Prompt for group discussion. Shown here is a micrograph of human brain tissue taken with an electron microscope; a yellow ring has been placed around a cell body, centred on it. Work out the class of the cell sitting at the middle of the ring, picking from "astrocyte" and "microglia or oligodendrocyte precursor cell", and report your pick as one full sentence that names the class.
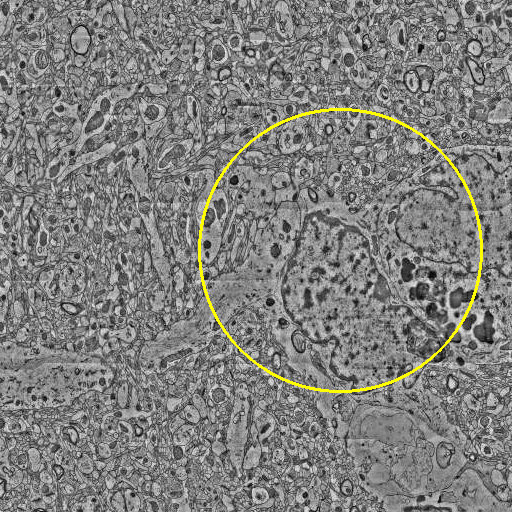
The cell sitting at the middle of the yellow ring is a microglial cell or oligodendrocyte precursor cell.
